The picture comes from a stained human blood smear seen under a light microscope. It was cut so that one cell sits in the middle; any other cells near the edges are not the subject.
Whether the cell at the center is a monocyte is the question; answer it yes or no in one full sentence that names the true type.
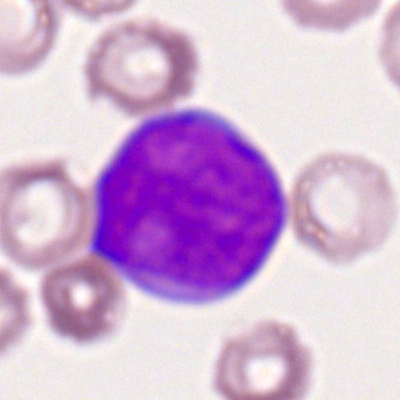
No, it is a myeloblast rather than a monocyte that the middle of the crop contains.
